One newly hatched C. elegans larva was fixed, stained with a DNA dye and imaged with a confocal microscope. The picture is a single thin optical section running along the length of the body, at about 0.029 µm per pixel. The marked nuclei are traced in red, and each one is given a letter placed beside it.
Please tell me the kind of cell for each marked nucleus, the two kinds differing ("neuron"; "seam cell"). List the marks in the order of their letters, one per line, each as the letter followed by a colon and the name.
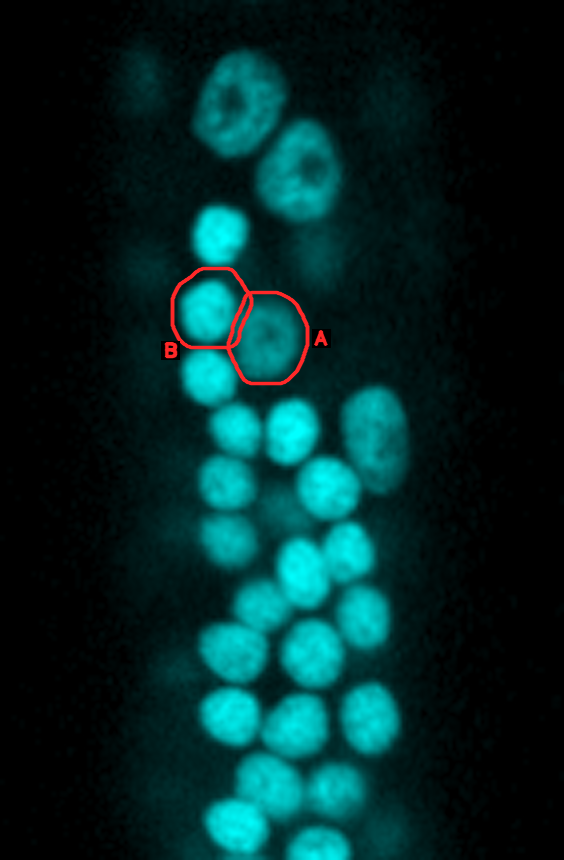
A: seam cell
B: neuron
